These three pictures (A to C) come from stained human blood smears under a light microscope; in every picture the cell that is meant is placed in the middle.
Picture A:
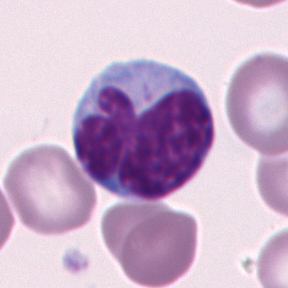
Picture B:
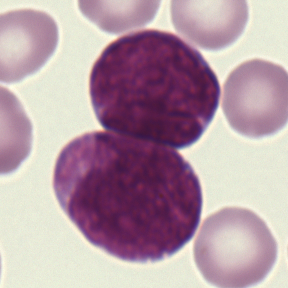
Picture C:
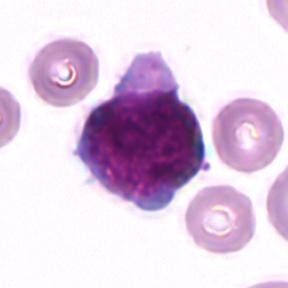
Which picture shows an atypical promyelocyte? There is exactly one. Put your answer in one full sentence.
Picture C shows the atypical promyelocyte.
